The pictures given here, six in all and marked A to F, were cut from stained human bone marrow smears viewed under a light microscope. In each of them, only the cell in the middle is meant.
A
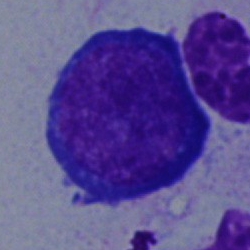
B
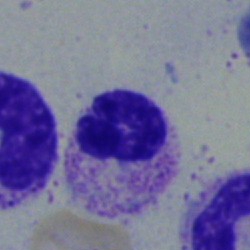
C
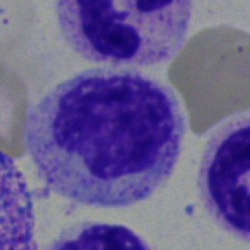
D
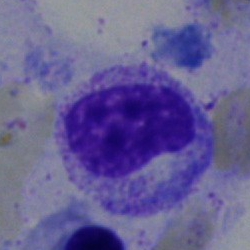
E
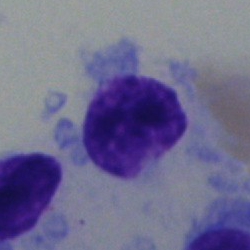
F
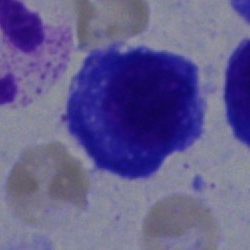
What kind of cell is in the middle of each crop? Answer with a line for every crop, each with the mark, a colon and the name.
A: proerythroblast
B: band neutrophil
C: myelocyte
D: metamyelocyte
E: hairy cell
F: plasma cell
